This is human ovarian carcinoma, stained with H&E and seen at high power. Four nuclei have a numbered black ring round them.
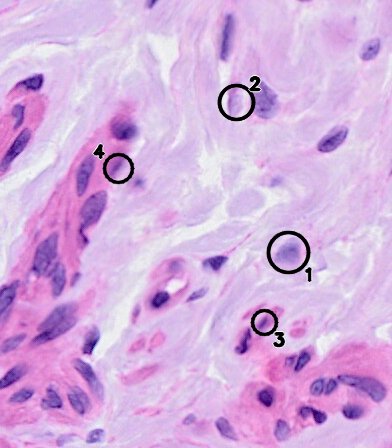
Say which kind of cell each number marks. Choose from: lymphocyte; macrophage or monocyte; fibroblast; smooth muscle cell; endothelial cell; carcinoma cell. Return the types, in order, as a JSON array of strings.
["fibroblast", "fibroblast", "smooth muscle cell", "smooth muscle cell"]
